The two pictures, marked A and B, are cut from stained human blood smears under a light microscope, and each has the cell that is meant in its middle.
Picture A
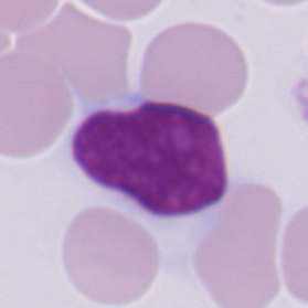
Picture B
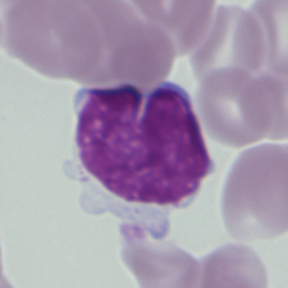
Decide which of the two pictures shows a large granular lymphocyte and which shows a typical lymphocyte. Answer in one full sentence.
Picture A shows a typical lymphocyte and picture B shows a large granular lymphocyte.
